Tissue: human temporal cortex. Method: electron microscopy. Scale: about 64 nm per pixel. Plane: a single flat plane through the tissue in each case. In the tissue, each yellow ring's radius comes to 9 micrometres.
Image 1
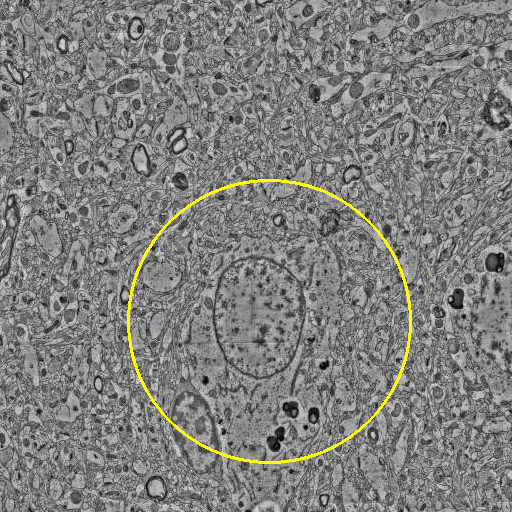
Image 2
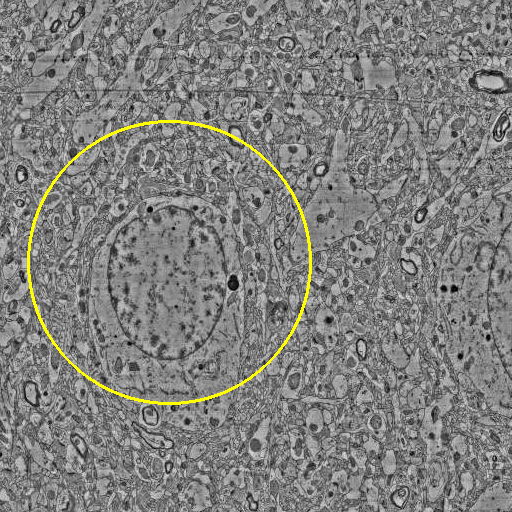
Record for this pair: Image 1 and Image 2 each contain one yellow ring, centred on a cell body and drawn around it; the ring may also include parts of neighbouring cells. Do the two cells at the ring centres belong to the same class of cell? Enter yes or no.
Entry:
yes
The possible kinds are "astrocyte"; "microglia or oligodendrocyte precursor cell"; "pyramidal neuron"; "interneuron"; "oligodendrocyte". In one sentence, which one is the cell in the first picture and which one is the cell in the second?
Both the first and the second picture show a pyramidal neuron in the ring.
